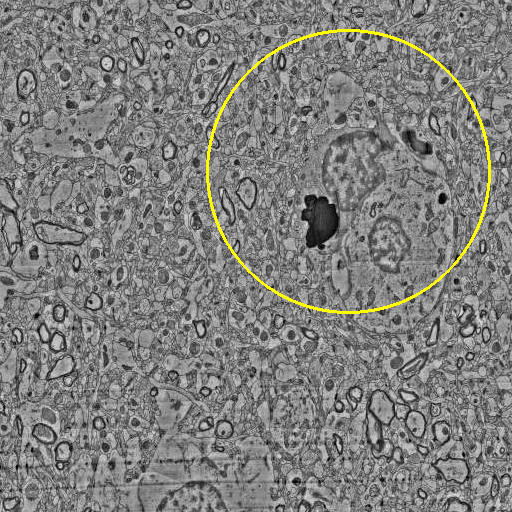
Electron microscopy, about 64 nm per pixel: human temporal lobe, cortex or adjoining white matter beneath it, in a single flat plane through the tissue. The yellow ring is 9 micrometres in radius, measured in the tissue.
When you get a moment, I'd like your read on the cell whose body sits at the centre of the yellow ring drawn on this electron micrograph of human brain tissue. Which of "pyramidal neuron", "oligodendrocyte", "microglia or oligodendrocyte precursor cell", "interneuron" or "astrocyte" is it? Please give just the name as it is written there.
oligodendrocyte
